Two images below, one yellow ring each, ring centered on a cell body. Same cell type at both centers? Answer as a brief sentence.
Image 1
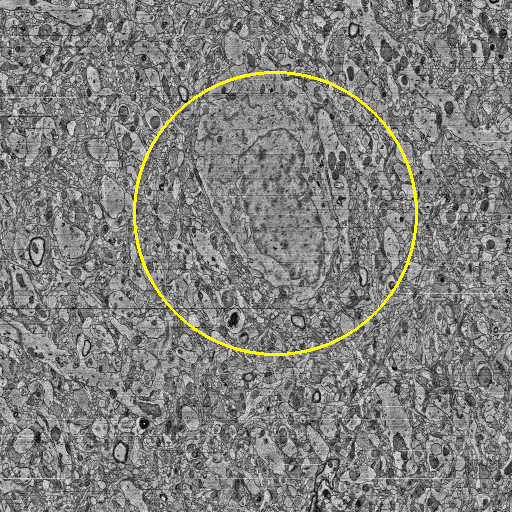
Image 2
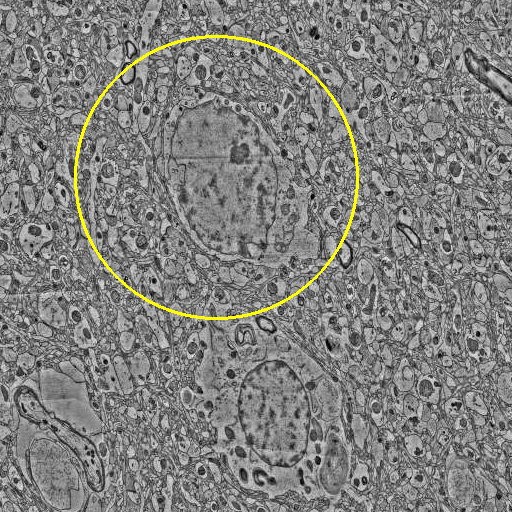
Yes, both cells are of the same type.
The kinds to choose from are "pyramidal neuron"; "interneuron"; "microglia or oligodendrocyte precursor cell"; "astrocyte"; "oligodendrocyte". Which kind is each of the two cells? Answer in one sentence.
Each of the ringed cells, first and second, is an interneuron.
